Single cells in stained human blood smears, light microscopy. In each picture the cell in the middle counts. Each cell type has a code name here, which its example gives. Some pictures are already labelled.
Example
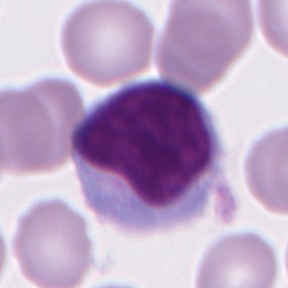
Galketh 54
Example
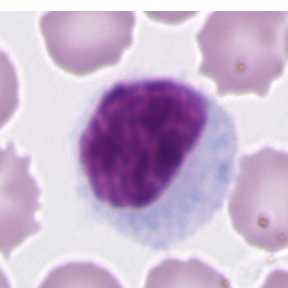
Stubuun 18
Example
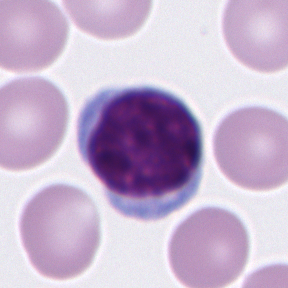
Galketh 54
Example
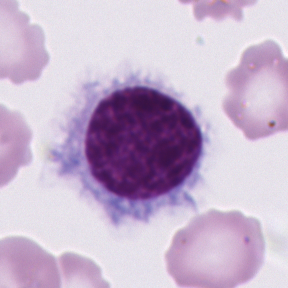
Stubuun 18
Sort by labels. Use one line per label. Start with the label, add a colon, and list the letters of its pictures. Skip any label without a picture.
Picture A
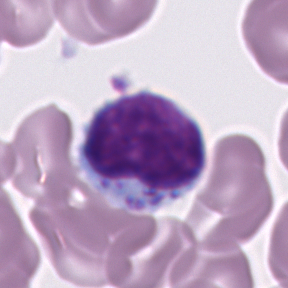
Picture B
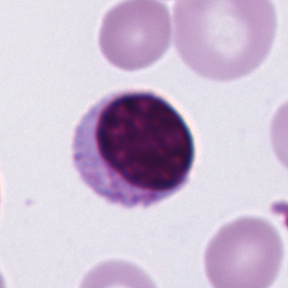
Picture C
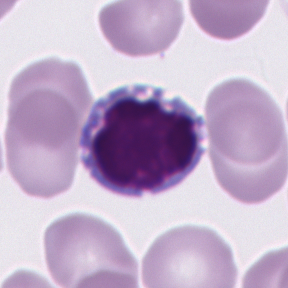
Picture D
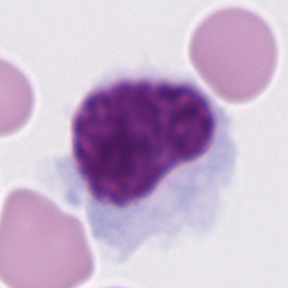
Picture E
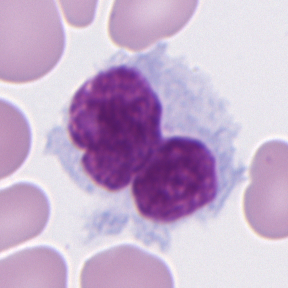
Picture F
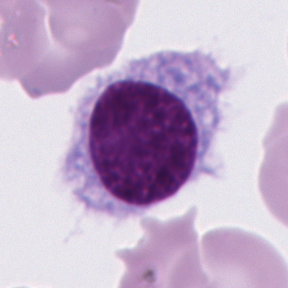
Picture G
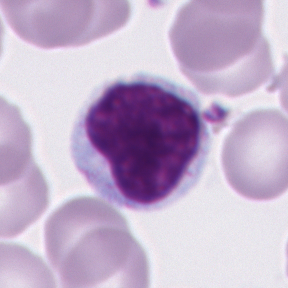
Galketh 54: A, B, C, G
Stubuun 18: D, E, F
